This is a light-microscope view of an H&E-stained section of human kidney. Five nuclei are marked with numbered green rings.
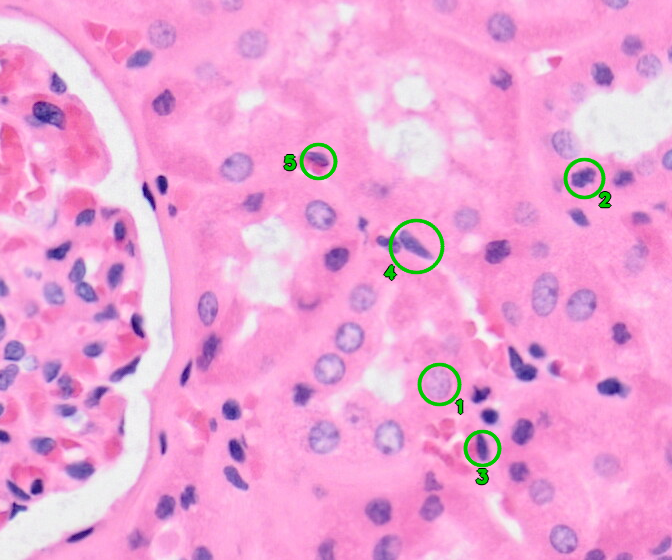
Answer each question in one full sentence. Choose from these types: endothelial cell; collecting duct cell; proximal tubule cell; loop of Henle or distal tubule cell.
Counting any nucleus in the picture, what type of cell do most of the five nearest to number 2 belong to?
Of the five nuclei nearest to number 2, most belong to loop of Henle or distal tubule cells.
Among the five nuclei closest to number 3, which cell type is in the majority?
Proximal tubule cells account for more than half of the five nuclei nearest to number 3.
